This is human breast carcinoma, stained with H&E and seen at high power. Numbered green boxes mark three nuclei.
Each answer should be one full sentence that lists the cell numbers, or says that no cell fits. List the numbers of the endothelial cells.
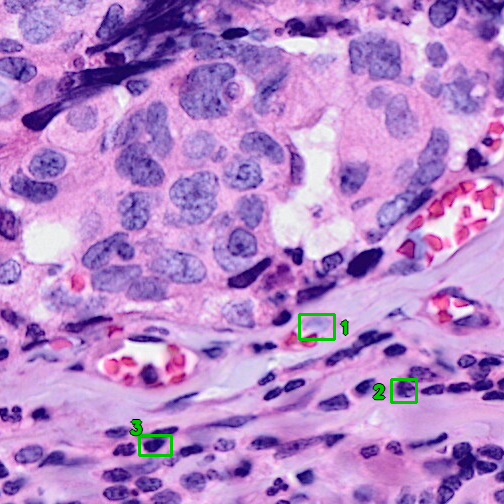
There is just one numbered cell that is an endothelial cell, and it is cell 1.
